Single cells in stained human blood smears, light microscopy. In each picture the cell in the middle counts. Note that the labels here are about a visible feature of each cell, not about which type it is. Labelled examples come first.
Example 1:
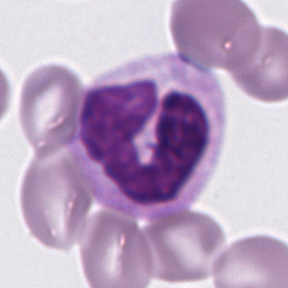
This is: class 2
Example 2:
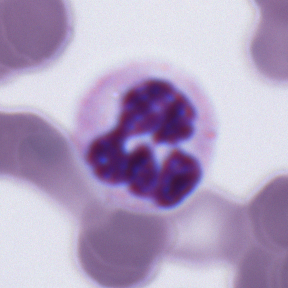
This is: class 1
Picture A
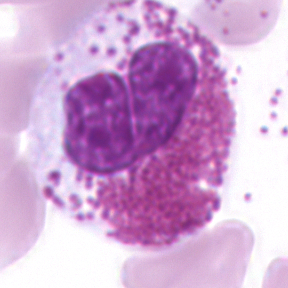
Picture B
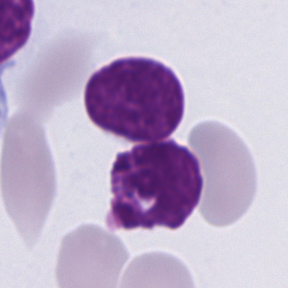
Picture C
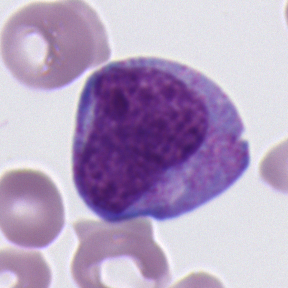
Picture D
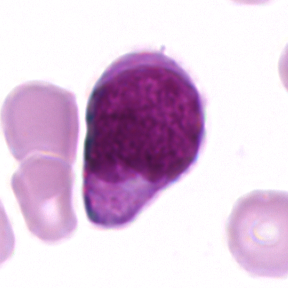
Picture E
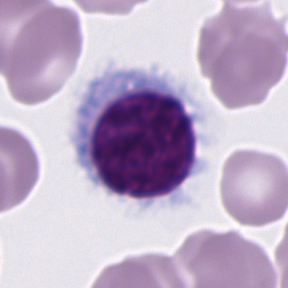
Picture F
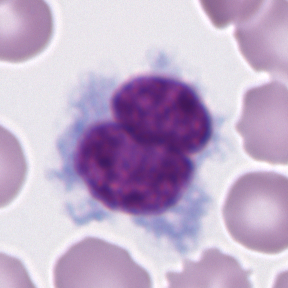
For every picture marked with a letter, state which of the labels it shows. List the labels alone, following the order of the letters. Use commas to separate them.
class 1, class 1, class 2, class 2, class 2, class 1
